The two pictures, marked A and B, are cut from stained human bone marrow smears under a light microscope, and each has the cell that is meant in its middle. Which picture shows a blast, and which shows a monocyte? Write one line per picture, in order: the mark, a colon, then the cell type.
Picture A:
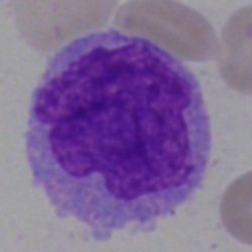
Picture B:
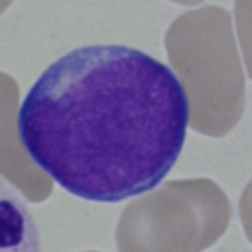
A: monocyte
B: blast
